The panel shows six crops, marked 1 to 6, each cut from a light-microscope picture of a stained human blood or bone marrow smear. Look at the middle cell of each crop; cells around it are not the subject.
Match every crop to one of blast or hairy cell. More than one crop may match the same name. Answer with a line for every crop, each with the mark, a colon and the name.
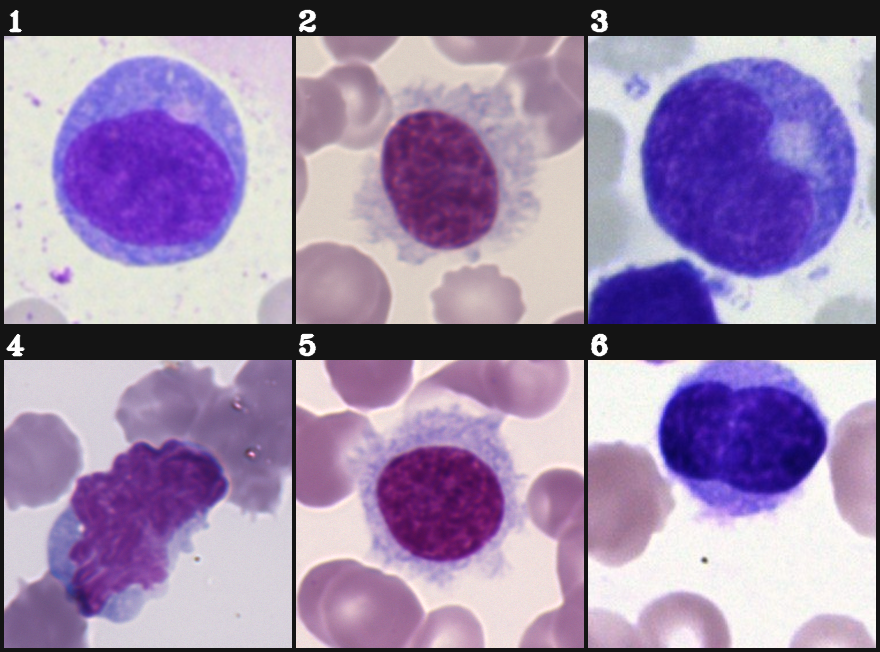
1: blast
2: hairy cell
3: blast
4: blast
5: hairy cell
6: hairy cell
